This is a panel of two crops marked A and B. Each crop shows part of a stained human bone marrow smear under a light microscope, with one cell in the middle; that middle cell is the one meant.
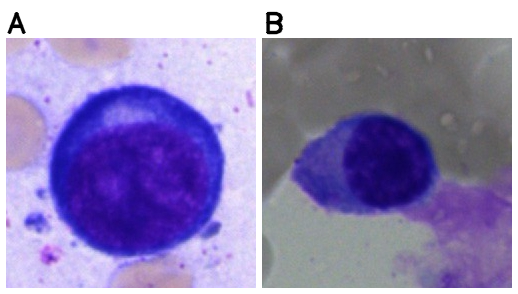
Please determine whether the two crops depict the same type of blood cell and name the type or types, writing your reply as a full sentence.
No, crop A shows a proerythroblast and crop B a plasma cell.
